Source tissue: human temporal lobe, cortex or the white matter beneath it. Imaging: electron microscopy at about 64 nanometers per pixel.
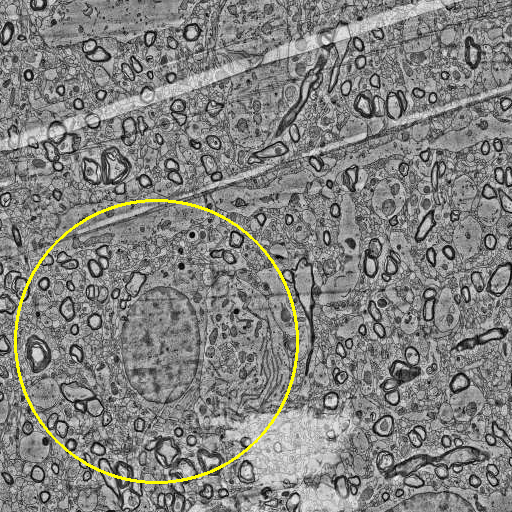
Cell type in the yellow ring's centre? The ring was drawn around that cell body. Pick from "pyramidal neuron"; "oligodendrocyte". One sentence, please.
The ringed cell body is that of an oligodendrocyte.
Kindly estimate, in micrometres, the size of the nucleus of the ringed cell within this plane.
In this plane the nucleus spans approximately 7 by 6 micrometers.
